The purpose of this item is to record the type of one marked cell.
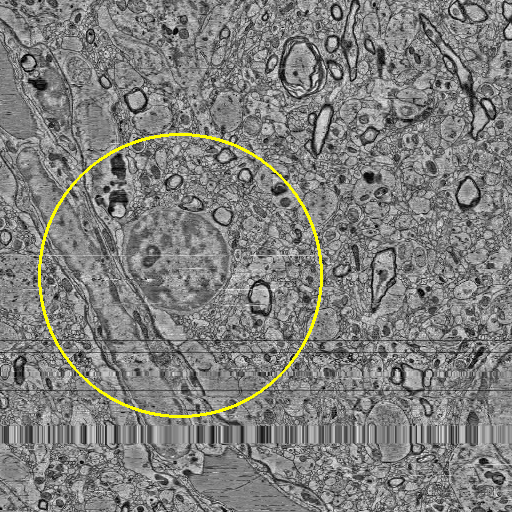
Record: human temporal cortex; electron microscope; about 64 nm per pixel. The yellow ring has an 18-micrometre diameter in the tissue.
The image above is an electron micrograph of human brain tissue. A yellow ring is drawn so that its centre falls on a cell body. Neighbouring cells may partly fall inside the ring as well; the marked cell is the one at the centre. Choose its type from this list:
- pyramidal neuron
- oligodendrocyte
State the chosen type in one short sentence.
What the ring marks here is an oligodendrocyte.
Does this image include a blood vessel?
Yes.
